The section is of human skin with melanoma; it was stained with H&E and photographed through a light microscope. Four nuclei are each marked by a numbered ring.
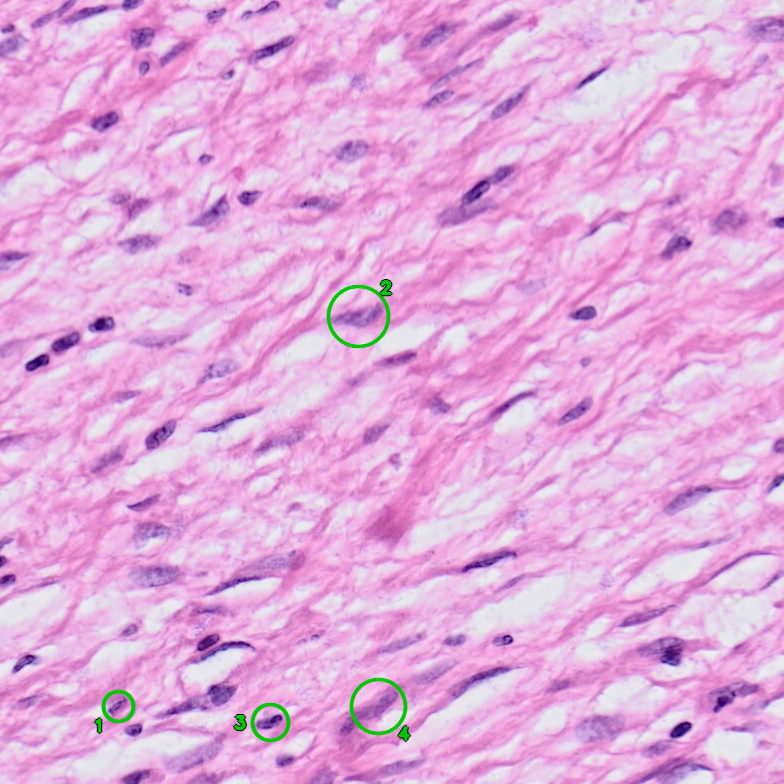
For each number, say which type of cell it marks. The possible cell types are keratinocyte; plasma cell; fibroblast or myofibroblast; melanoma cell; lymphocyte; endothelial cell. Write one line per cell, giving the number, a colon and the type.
1: fibroblast or myofibroblast
2: fibroblast or myofibroblast
3: lymphocyte
4: fibroblast or myofibroblast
